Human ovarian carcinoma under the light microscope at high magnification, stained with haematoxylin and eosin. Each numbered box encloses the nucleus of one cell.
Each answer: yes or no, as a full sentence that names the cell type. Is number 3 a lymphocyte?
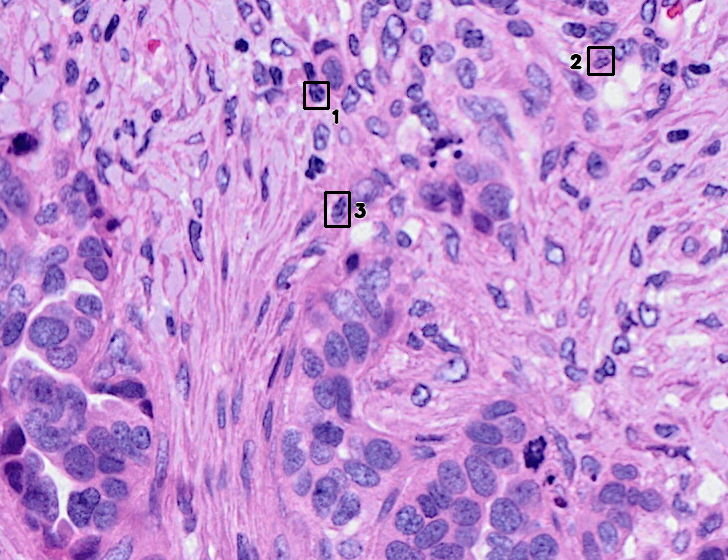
Yes, number 3 corresponds to a lymphocyte.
